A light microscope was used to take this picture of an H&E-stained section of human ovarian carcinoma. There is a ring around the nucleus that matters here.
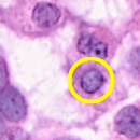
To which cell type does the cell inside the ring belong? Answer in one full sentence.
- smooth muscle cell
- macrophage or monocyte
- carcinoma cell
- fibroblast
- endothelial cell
Within this tissue, the cell inside the ring is a macrophage or monocyte.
